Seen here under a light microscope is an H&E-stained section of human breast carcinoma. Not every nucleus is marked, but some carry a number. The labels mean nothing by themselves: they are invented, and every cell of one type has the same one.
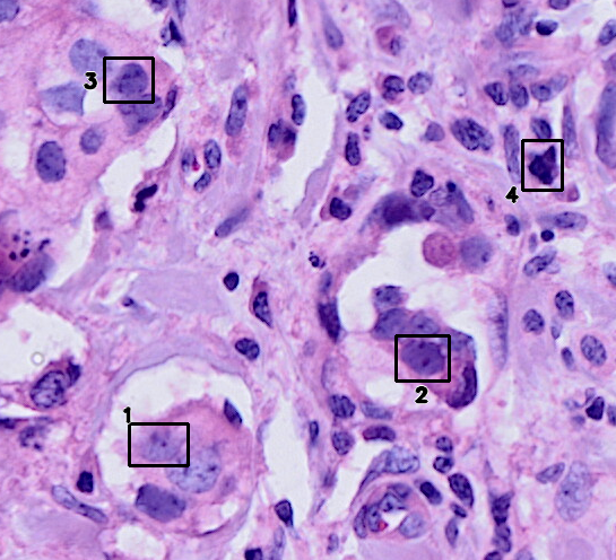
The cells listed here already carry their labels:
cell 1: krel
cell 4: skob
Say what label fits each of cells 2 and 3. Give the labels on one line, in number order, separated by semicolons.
krel; krel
